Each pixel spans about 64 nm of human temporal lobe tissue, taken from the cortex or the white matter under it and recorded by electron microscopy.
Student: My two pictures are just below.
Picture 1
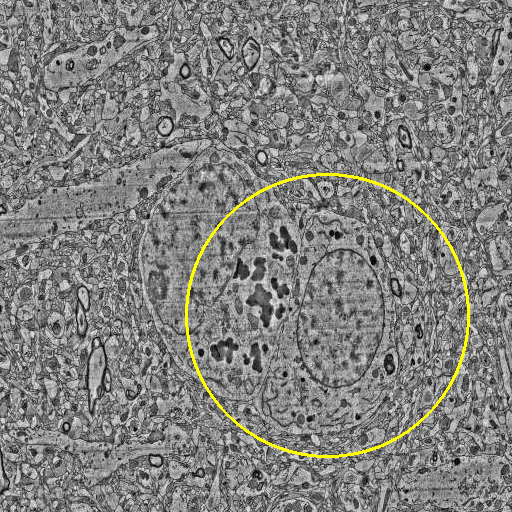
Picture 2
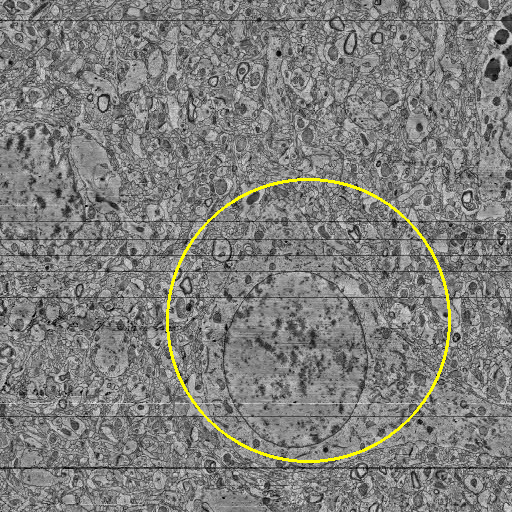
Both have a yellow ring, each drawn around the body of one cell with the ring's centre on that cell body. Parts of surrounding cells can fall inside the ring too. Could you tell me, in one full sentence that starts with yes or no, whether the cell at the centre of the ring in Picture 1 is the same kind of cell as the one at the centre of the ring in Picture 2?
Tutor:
Yes, the two cells are of the same kind.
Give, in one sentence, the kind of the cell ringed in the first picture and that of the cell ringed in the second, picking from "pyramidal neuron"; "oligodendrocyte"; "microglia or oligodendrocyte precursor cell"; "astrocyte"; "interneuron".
Each of the two cells is a pyramidal neuron.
